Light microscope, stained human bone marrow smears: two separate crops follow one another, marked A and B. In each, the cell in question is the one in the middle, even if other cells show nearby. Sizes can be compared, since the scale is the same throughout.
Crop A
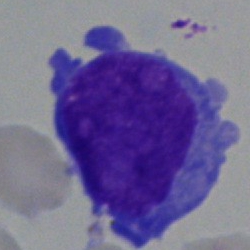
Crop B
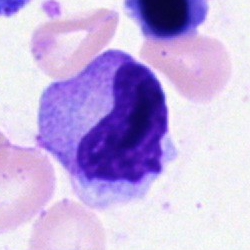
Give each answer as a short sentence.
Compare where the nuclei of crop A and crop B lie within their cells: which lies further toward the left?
The nucleus in crop A lies further toward the left of its cell.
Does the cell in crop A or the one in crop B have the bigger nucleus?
The nucleus in crop A is larger, with about 2 times the area of the one in crop B.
